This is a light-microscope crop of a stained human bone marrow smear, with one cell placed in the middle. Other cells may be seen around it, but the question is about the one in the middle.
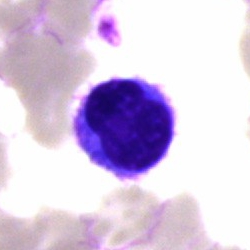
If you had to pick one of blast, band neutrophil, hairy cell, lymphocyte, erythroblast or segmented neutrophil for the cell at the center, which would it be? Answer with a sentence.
The cell shown in the center of this light-microscope crop is a lymphocyte.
